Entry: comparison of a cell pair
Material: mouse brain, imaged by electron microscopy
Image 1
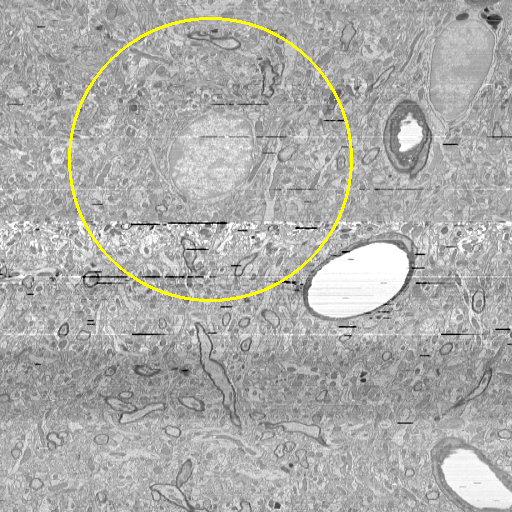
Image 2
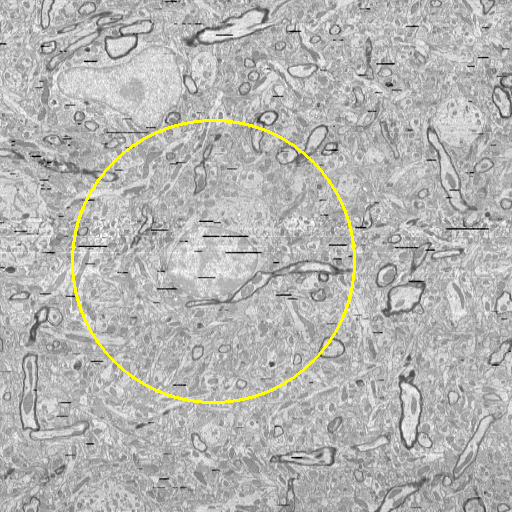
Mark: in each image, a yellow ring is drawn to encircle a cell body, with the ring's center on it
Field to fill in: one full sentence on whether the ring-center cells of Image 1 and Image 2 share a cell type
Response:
Yes, Image 1 and Image 2 each show a ring-center cell of one shared type.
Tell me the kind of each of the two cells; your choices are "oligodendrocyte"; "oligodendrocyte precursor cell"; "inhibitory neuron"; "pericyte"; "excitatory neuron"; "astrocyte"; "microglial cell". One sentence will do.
Each of the ringed cells, first and second, is an oligodendrocyte.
